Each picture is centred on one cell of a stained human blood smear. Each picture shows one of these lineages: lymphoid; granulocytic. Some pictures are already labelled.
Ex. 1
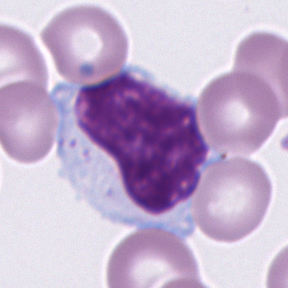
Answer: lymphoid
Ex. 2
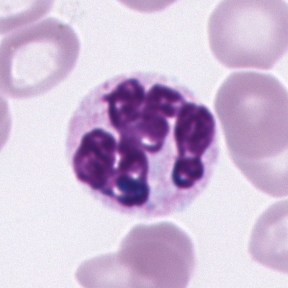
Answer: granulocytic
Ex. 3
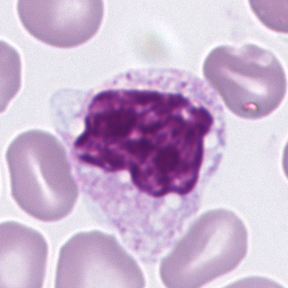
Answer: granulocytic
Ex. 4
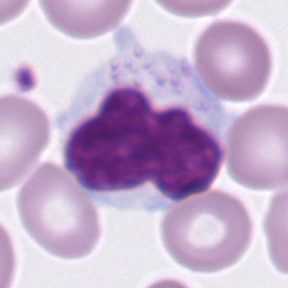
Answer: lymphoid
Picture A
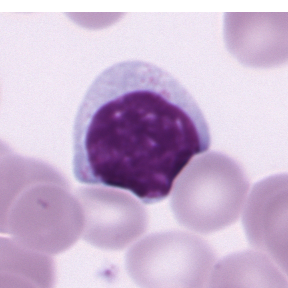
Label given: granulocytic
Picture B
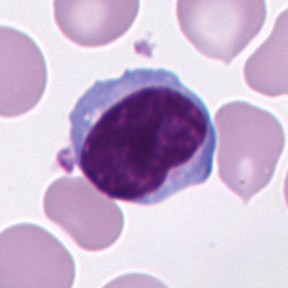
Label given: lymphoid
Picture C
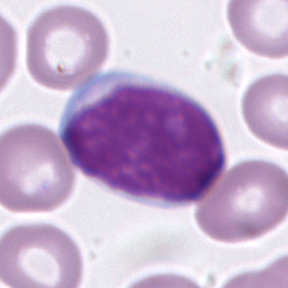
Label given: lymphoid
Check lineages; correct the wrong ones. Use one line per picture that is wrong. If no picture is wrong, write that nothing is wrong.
A is labelled granulocytic; correct label: lymphoid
